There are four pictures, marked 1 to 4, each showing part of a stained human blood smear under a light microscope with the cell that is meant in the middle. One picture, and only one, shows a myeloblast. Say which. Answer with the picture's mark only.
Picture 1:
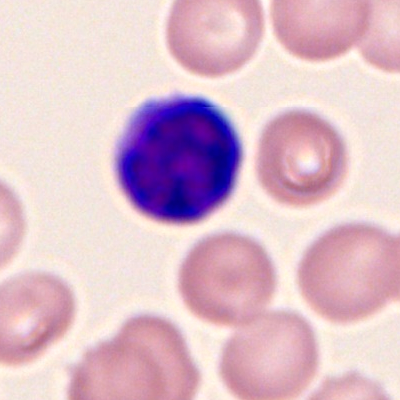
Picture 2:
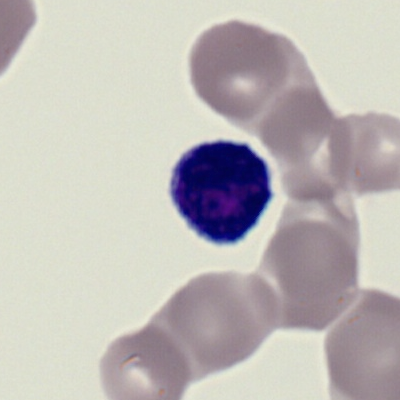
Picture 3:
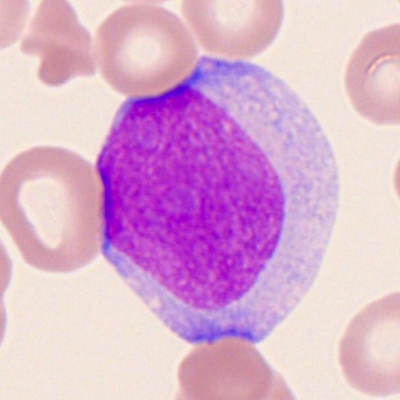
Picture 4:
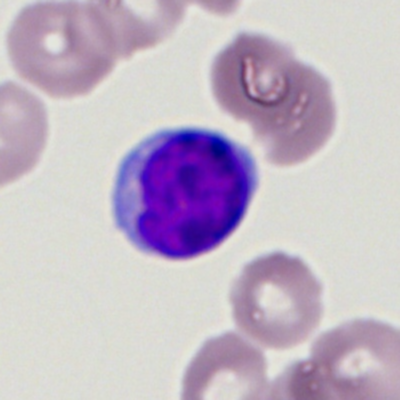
3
